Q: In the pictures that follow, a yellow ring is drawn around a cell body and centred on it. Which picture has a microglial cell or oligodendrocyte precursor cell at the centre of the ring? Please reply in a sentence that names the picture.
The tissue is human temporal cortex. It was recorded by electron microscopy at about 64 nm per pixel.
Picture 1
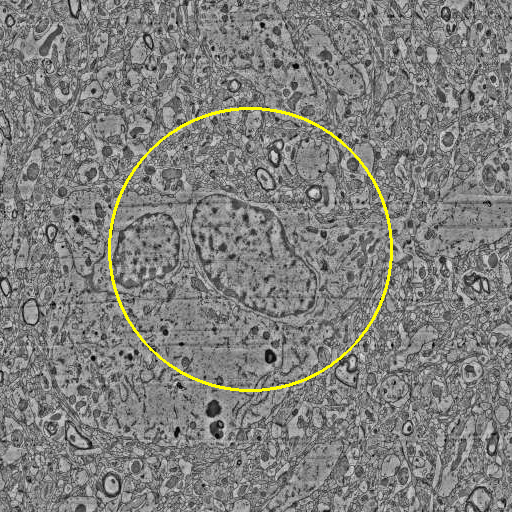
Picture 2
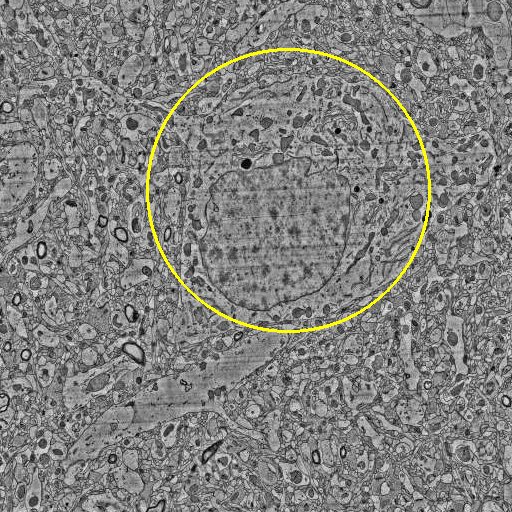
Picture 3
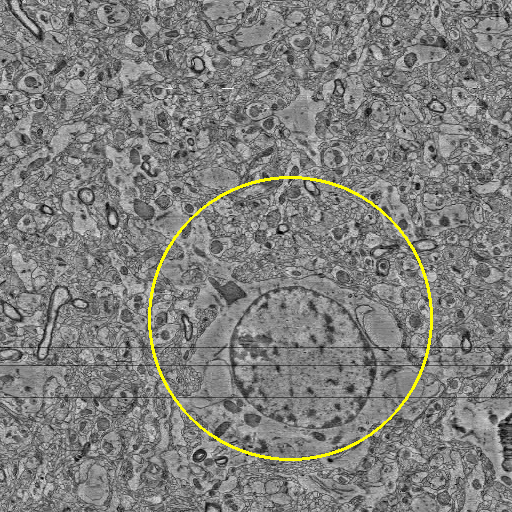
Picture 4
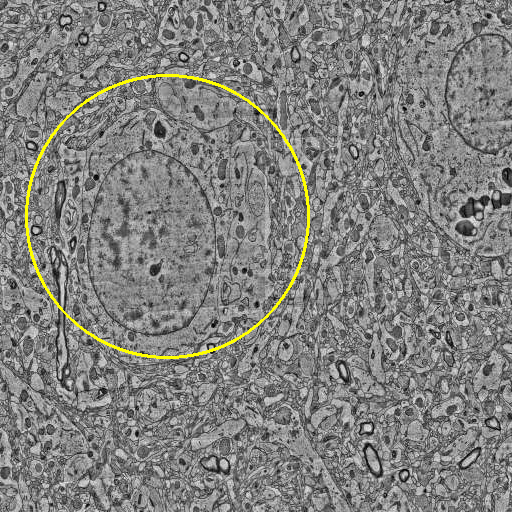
Picture 1 shows it at the centre of its ring.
